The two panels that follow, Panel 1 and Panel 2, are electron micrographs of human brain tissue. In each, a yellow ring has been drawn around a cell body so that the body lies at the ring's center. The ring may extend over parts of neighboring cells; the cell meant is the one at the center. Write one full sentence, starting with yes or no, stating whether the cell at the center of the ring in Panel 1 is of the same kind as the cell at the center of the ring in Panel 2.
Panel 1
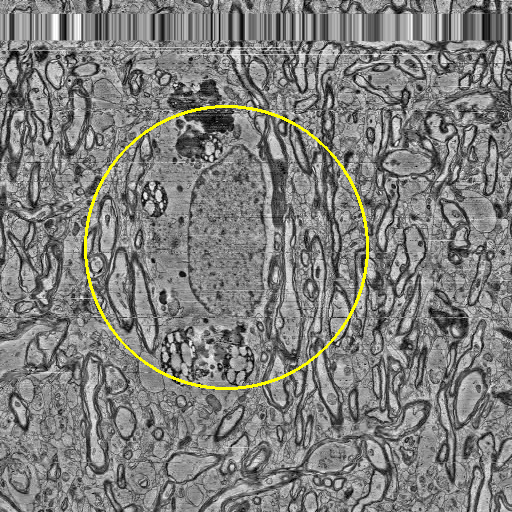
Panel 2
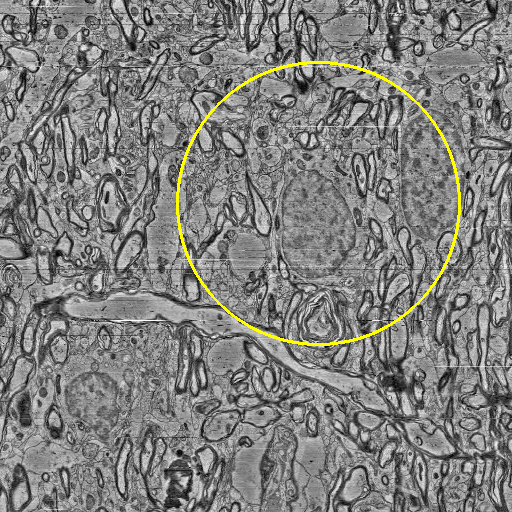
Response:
No, the cells in the two panels are of two kinds.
